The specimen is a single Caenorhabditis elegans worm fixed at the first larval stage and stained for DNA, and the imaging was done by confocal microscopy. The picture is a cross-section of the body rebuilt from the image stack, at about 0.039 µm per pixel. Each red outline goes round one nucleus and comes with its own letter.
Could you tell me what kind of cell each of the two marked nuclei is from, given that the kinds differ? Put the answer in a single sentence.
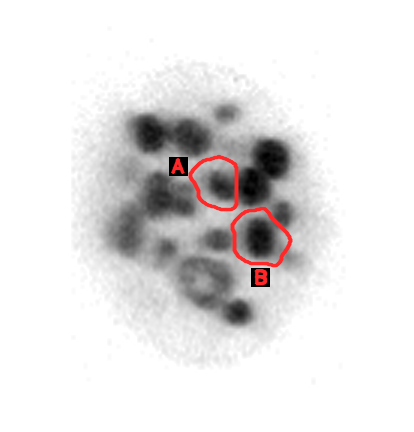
A belongs to a pharyngeal marginal cell and B to a neuron.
